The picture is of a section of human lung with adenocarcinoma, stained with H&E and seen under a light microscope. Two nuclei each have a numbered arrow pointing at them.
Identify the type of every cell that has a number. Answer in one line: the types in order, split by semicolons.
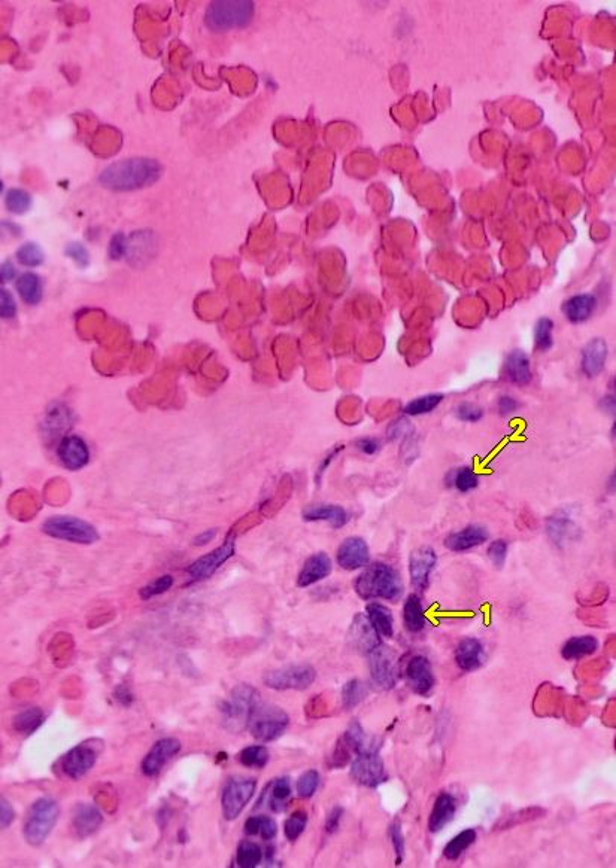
plasma cell; lymphocyte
